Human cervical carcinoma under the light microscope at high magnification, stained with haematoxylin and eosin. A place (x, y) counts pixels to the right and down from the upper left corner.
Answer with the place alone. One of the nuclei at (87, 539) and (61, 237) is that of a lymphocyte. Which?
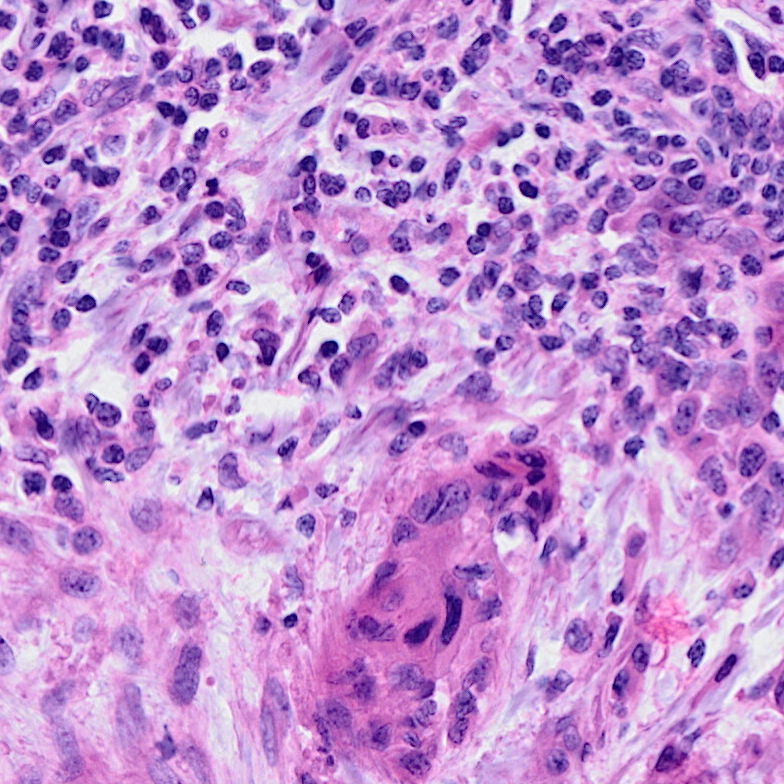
(61, 237)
